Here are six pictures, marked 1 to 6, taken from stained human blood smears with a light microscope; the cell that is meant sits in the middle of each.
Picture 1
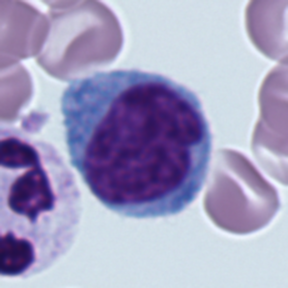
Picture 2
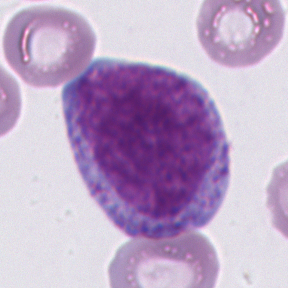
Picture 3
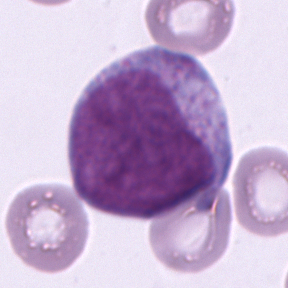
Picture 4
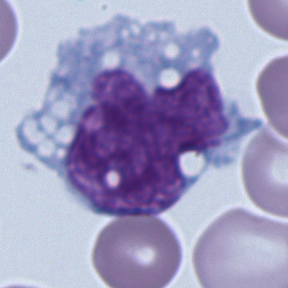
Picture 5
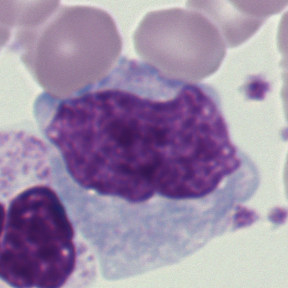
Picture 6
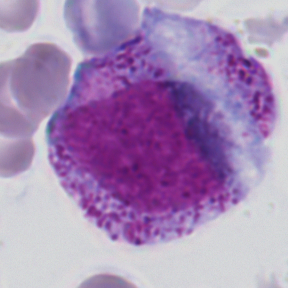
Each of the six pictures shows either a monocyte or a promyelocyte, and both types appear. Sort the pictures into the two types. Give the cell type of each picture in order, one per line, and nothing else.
monocyte
promyelocyte
promyelocyte
monocyte
monocyte
promyelocyte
